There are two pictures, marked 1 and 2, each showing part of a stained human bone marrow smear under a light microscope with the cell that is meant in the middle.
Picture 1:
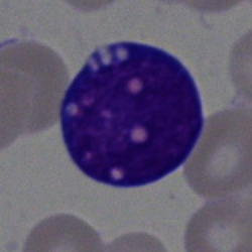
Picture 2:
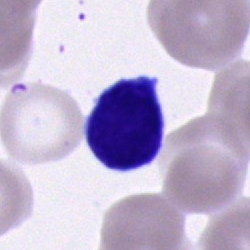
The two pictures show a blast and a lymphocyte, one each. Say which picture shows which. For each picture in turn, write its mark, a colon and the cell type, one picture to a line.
1: blast
2: lymphocyte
